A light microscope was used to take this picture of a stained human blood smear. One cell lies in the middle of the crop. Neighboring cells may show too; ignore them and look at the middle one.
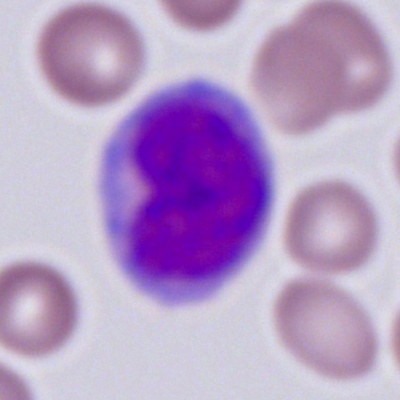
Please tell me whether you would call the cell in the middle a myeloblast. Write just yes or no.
no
